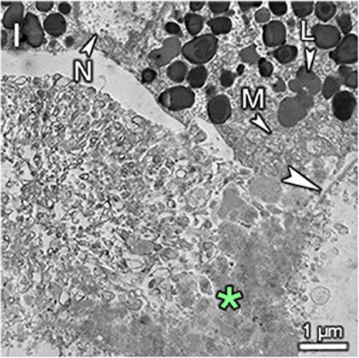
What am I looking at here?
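Base of a retinal pigment epithelial cell with nucleus, mitochondria and dark lipofuscin granules above a thin basal lamina. Beneath lies a basal mound of packed small vesicular particles within homogeneous grey basal laminar deposit.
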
